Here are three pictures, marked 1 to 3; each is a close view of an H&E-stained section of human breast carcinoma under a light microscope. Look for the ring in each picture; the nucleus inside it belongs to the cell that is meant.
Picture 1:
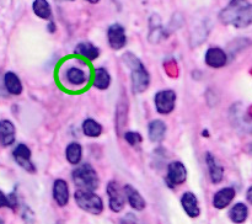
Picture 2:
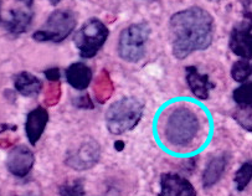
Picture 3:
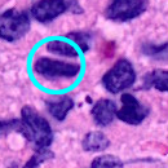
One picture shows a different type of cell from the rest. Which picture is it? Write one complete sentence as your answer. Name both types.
Picture 1 is the odd one out: it shows a lymphocyte, while the others show carcinoma cells.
